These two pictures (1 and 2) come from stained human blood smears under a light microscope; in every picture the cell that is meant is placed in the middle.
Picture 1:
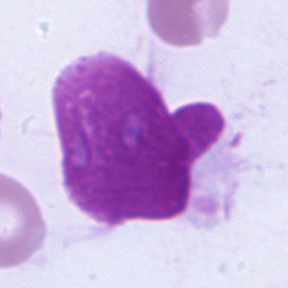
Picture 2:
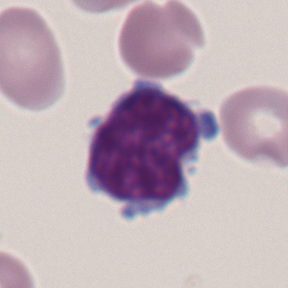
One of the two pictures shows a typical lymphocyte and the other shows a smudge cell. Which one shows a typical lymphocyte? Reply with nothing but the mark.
2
